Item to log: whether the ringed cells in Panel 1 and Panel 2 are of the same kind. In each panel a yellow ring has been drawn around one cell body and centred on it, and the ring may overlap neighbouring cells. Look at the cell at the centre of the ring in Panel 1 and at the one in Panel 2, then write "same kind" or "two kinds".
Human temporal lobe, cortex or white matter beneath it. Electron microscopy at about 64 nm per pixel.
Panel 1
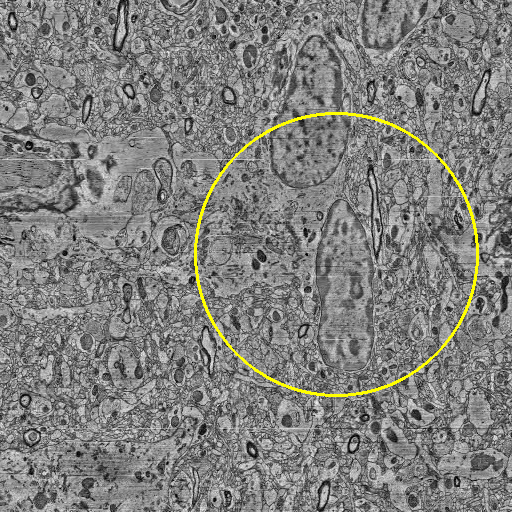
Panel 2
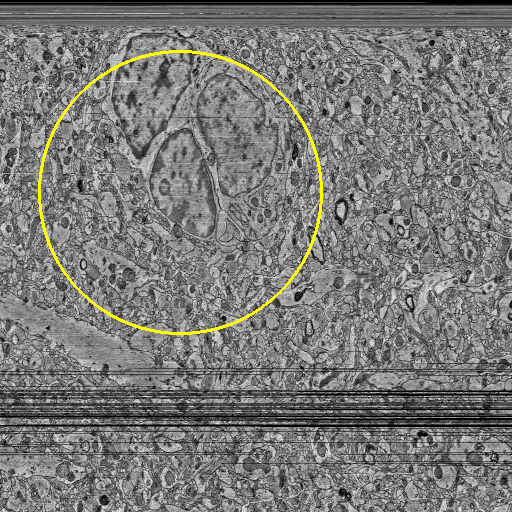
same kind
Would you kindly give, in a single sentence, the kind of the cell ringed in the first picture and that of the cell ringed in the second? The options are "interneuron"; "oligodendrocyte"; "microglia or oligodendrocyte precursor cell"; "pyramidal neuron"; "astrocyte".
The second cell is a microglial cell or oligodendrocyte precursor cell, just as the first is.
